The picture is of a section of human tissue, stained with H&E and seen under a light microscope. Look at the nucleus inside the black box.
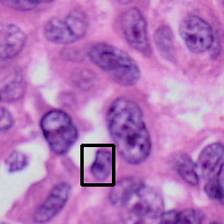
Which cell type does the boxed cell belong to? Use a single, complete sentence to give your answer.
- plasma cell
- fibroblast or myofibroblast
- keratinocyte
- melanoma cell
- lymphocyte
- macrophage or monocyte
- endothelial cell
At the level of cell identity, the boxed cell is a melanoma cell.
